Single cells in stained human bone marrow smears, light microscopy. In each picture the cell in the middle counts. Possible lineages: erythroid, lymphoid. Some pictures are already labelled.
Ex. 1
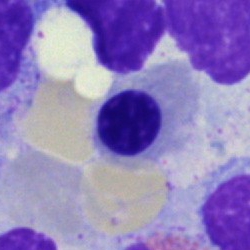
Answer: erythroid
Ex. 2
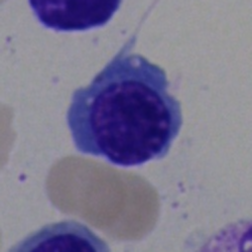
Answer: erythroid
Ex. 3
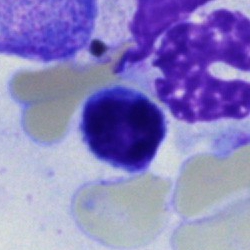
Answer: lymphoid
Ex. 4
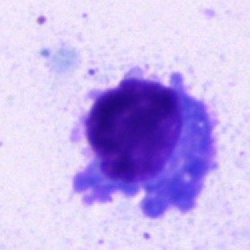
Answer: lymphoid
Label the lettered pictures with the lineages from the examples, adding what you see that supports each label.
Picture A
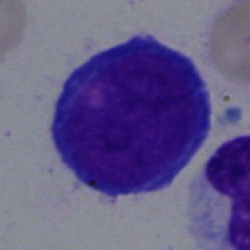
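erythroid: The nuclear chromatin looks finely textured rather than clumped into coarse dark blocks.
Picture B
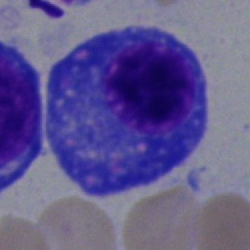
lymphoid: The cytoplasm is abundant and stains a deep blue.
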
